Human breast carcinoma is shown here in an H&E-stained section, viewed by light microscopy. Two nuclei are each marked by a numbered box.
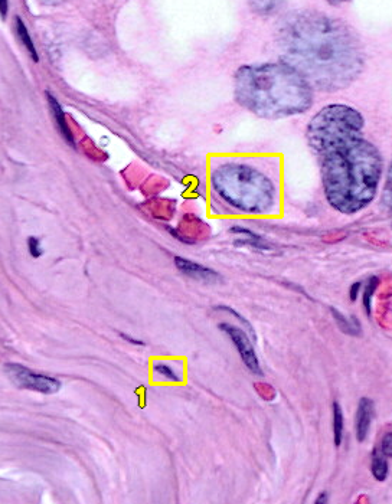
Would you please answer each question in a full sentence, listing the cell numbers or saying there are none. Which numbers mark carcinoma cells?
The numbered cell that is a carcinoma cell is cell 2, and it is the only one.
